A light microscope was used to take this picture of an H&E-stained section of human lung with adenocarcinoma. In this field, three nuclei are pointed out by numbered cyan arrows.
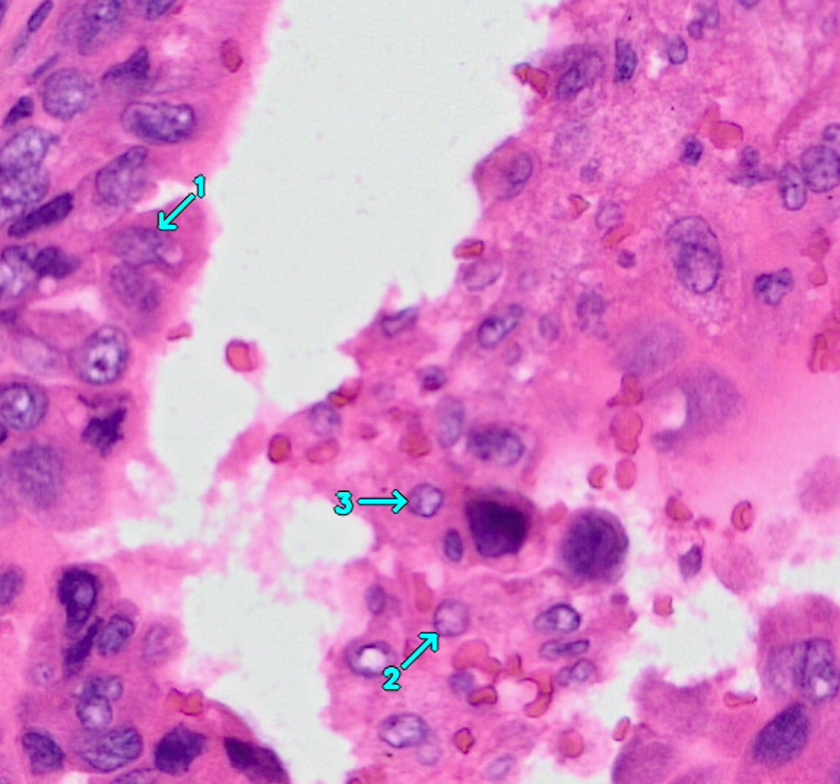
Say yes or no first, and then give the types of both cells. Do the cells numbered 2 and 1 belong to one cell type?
No; cell 2 is a macrophage or monocyte, whereas cell 1 is a carcinoma cell.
